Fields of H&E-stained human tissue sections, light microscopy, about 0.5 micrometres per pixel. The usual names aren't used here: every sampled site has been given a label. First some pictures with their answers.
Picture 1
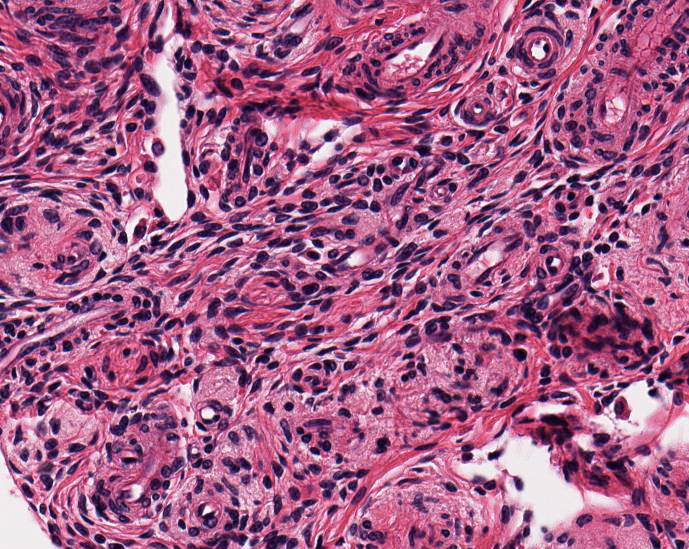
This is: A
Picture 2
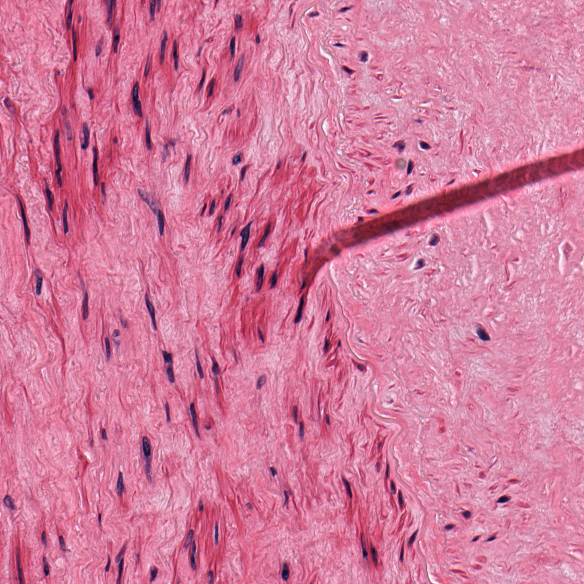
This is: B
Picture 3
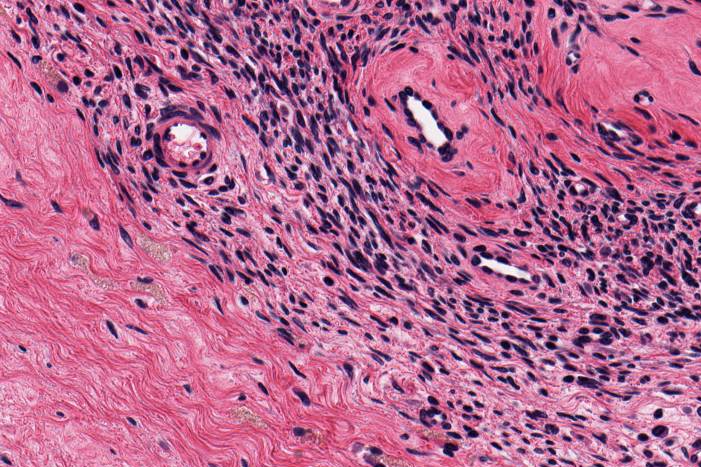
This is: A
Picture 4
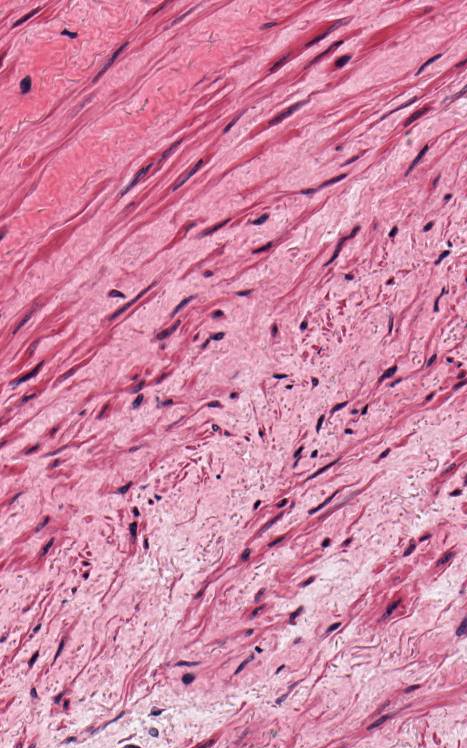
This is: B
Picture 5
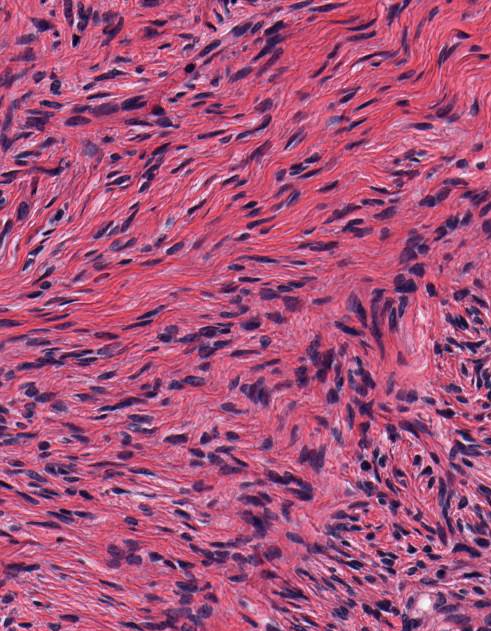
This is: A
